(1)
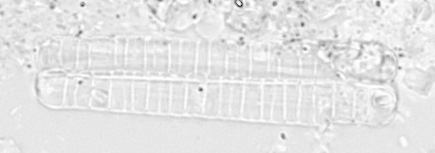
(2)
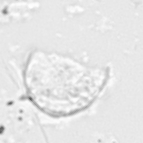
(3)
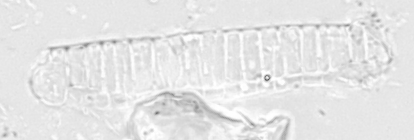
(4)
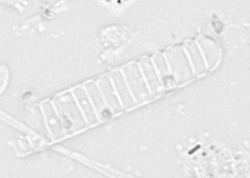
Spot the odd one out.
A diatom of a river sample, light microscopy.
Picture 2 (Stephanodiscus among Diatoma).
